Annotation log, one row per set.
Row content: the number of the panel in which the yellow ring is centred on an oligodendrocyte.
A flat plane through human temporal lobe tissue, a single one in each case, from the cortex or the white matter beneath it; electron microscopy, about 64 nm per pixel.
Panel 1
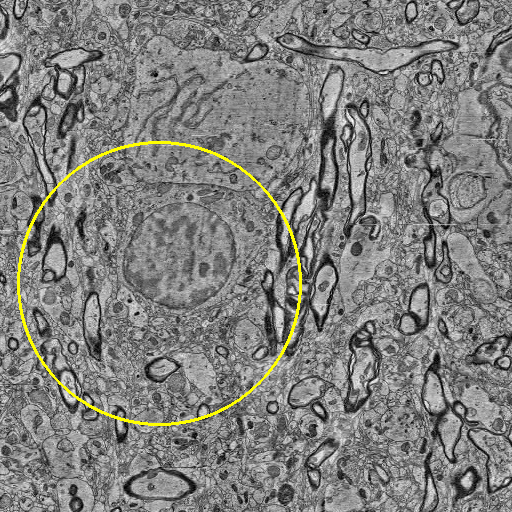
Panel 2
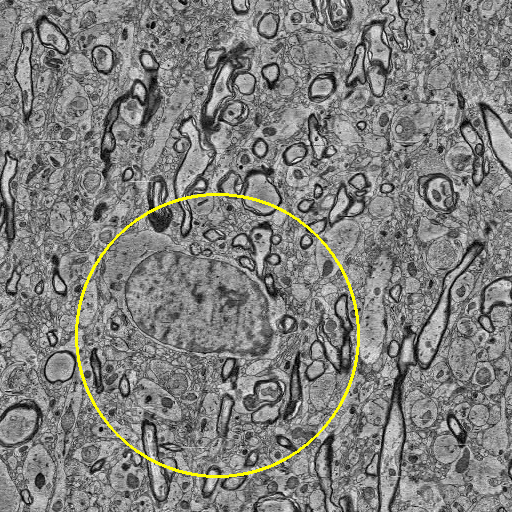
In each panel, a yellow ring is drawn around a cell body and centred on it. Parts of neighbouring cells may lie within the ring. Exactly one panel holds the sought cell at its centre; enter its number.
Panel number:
1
